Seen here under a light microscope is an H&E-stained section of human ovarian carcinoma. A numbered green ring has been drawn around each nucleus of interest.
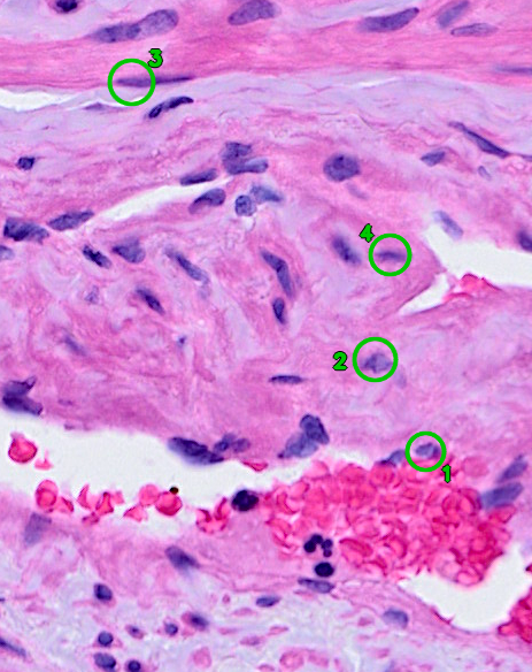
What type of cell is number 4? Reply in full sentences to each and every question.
The cell that carries the label 4 is a smooth muscle cell.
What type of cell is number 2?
Of the numbered cells, the one labelled 2 is a smooth muscle cell.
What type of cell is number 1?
Corresponding to an endothelial cell is the cell labelled 1.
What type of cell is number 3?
The marked nucleus 3 is that of a smooth muscle cell.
